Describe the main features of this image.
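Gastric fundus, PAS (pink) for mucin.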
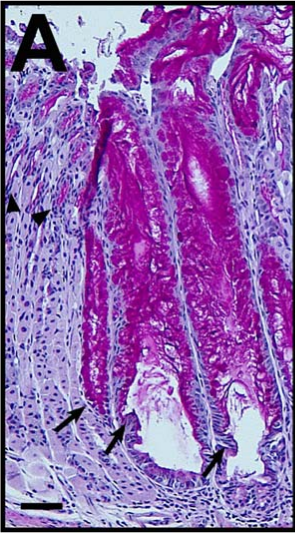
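Neighbouring glands on the left are slender, pale purple, made of cells with small nuclei and little magenta staining. A thin band of muscle and connective tissue lies beneath the gland bases.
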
